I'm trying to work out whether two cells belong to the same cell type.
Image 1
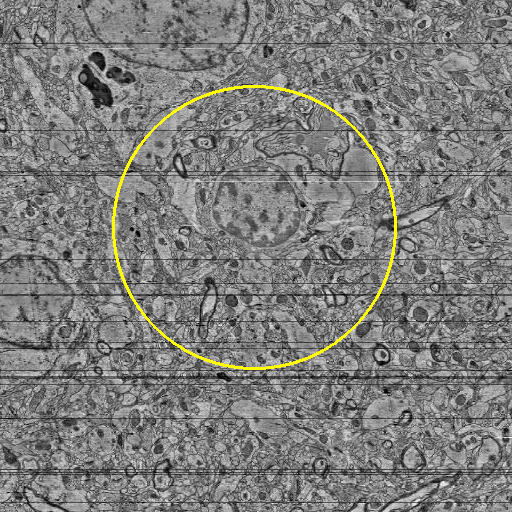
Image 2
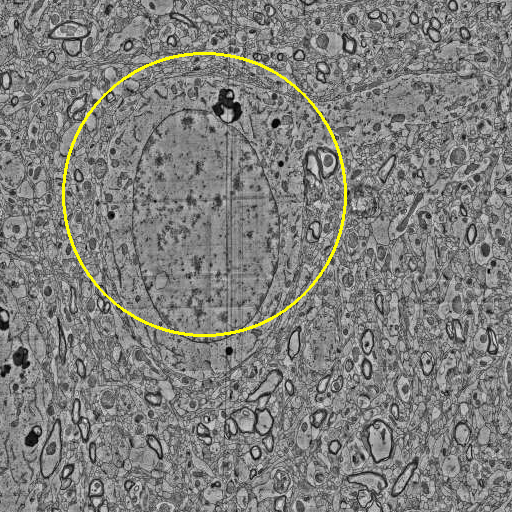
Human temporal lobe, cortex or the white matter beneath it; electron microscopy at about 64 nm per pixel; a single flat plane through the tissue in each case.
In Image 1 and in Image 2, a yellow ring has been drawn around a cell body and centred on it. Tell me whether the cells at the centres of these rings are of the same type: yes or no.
no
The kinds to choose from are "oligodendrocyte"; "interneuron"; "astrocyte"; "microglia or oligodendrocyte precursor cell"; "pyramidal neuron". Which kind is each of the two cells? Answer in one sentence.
Of the two, the first cell is an oligodendrocyte and the second cell is a pyramidal neuron.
